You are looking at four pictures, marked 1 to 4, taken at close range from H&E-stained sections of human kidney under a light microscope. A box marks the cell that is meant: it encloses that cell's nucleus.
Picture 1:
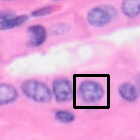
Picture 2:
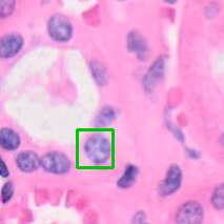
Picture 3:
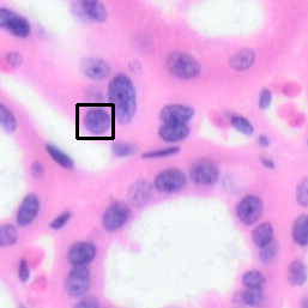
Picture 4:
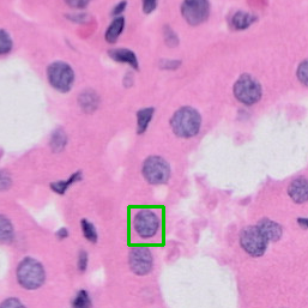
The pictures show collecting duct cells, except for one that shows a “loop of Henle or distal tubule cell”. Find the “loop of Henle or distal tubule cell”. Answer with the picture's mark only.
4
